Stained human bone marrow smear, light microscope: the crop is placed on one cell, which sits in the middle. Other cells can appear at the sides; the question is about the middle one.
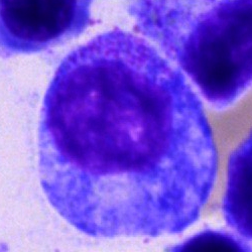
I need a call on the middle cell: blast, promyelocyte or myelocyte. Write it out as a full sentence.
The cell of interest, located centrally, is a promyelocyte.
